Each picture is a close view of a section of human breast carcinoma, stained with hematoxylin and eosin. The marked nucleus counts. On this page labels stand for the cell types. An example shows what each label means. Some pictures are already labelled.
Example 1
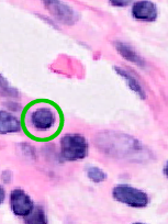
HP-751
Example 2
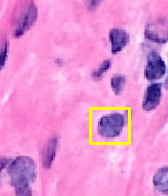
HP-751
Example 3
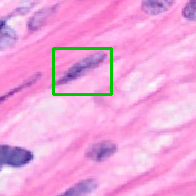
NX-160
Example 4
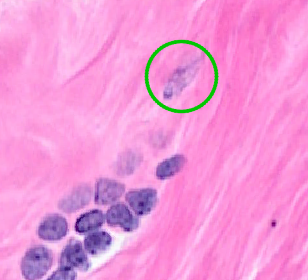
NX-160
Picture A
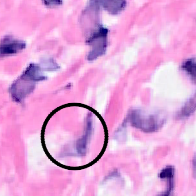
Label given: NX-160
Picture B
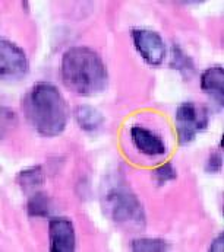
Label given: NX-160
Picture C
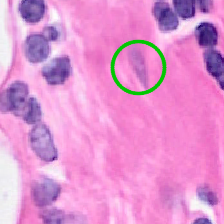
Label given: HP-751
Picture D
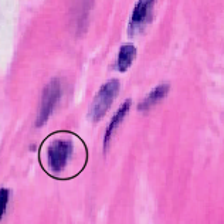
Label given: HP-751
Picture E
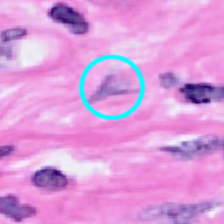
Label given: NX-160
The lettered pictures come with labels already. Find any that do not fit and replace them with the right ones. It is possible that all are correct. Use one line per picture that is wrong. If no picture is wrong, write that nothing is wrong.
Wrong: B (NX-160); correct: HP-751
Wrong: C (HP-751); correct: NX-160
